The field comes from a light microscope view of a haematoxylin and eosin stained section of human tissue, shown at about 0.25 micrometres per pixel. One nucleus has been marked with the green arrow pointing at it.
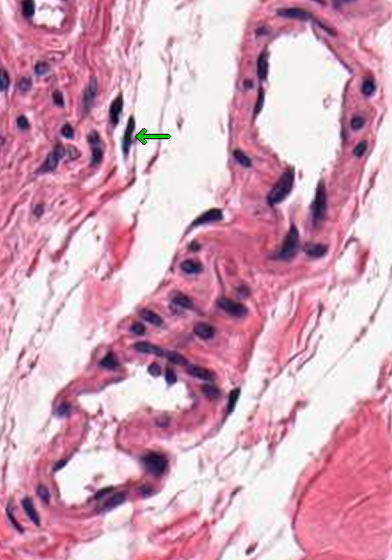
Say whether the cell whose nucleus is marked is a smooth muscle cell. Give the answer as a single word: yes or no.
no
